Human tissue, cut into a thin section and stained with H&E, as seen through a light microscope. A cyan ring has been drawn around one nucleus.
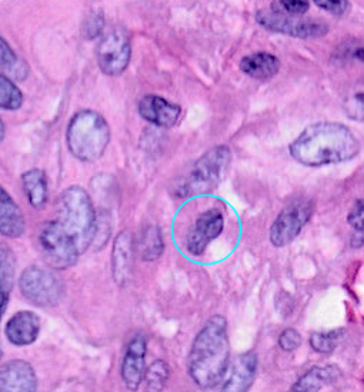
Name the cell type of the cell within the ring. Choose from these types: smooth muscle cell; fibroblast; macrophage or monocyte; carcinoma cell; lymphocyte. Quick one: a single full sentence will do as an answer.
The identity of the cell within the ring is that of a macrophage or monocyte.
